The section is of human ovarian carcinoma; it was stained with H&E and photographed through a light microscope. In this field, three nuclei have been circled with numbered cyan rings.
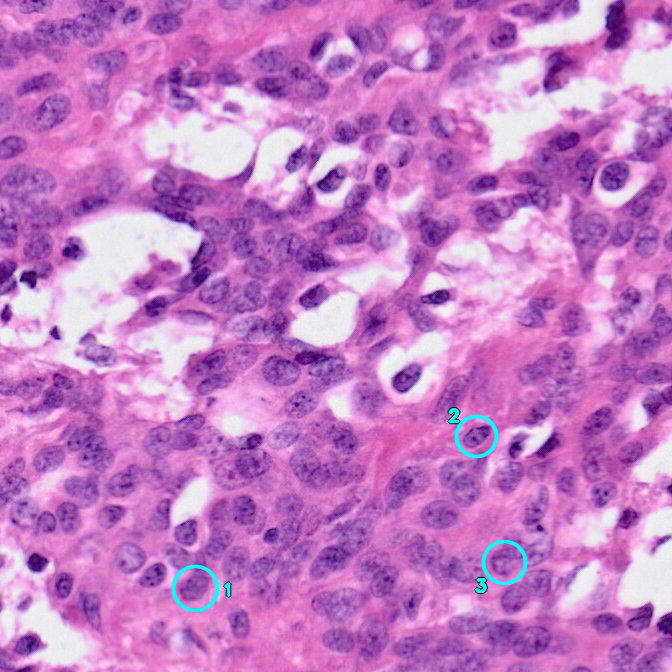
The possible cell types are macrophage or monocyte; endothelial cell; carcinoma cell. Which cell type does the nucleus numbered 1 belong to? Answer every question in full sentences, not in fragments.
Cell number 1 in this section is a carcinoma cell.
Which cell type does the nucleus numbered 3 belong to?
The cell numbered 3 represents a carcinoma cell.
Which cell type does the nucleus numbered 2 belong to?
Numbered cell 2 is a macrophage or monocyte in this tissue section.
